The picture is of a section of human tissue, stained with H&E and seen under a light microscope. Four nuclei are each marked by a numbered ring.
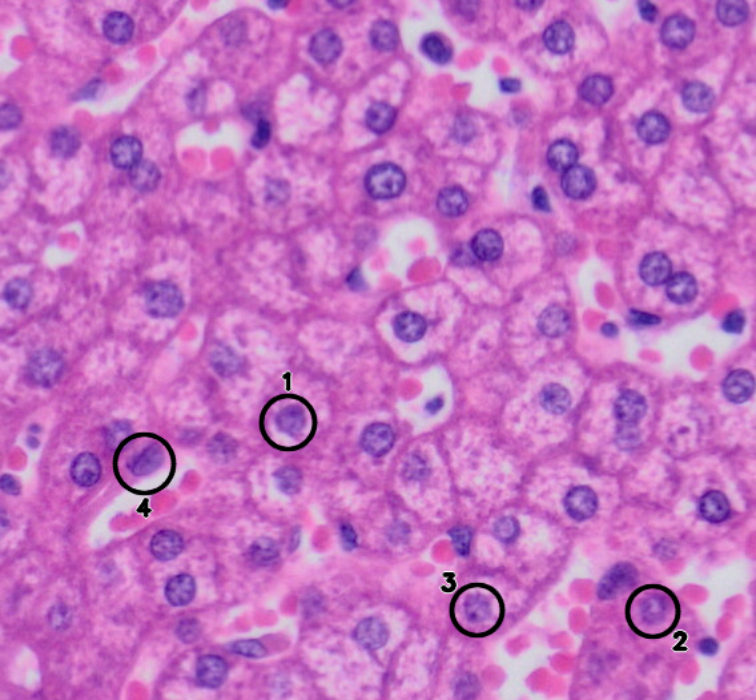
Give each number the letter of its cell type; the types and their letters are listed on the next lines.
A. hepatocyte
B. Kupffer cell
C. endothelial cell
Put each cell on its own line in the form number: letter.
1: A
2: A
3: A
4: B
